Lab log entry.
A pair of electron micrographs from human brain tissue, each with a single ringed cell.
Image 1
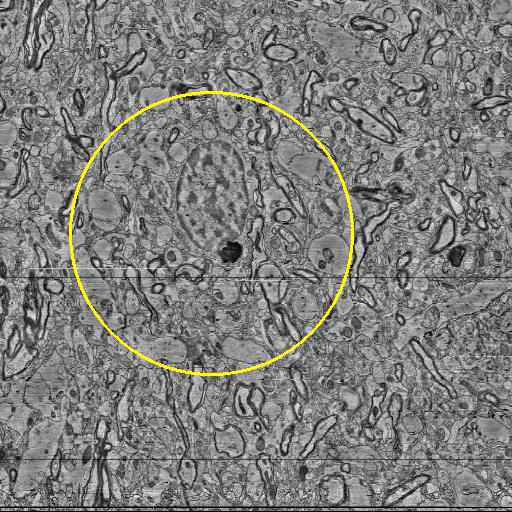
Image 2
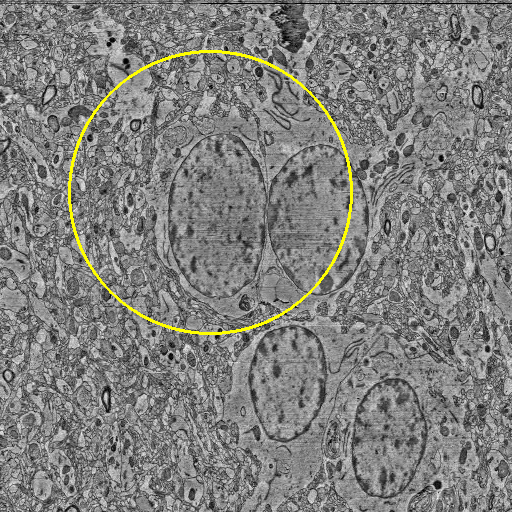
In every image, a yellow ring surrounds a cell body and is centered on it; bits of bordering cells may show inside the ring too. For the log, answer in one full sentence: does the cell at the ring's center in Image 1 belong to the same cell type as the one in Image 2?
No, the cells at the ring centers in Image 1 and Image 2 are of separate types.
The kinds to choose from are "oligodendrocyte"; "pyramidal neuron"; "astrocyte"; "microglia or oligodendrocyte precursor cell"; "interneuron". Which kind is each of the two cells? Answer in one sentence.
Of the two, the first cell is an oligodendrocyte and the second cell is an astrocyte.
